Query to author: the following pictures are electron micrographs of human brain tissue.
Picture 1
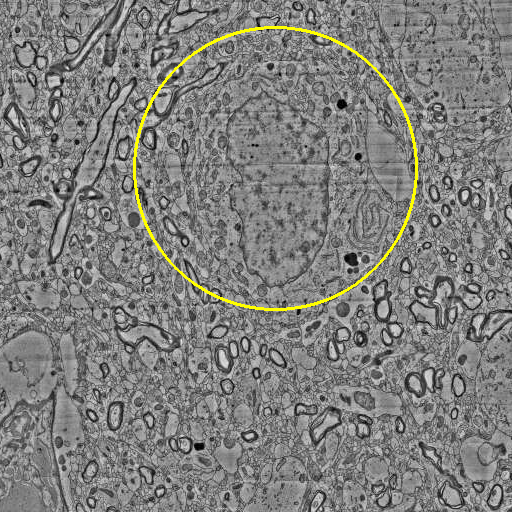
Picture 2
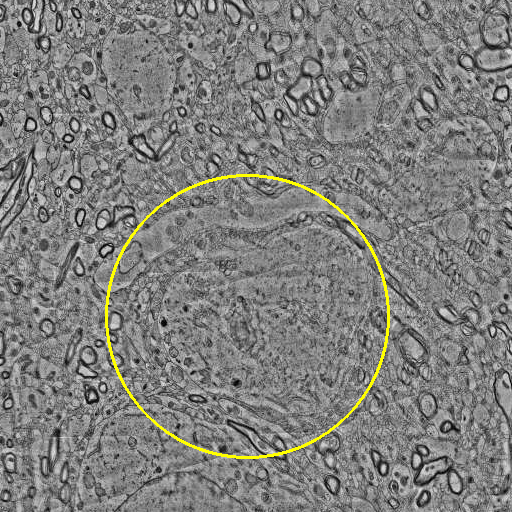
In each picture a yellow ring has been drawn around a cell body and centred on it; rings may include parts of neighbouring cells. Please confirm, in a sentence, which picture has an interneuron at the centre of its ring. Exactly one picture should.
Picture 1 has it at the centre of its ring.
